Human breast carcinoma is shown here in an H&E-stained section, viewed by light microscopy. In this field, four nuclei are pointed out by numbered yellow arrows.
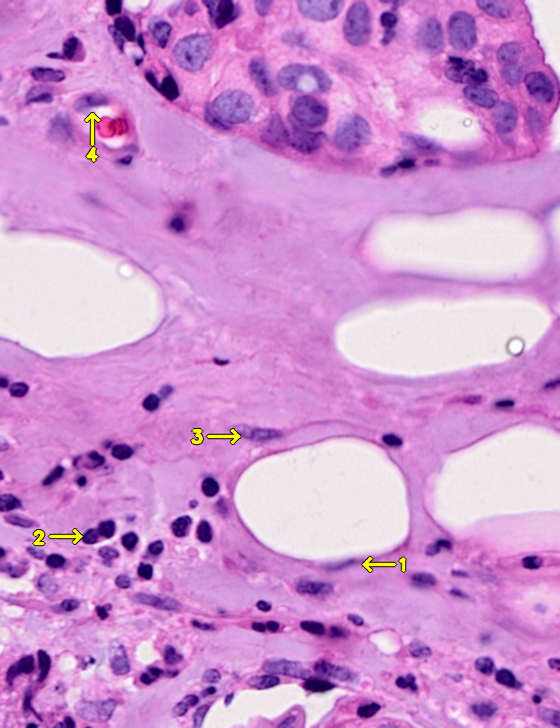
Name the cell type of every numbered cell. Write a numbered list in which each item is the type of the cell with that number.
1. fibroblast
2. lymphocyte
3. fibroblast
4. endothelial cell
